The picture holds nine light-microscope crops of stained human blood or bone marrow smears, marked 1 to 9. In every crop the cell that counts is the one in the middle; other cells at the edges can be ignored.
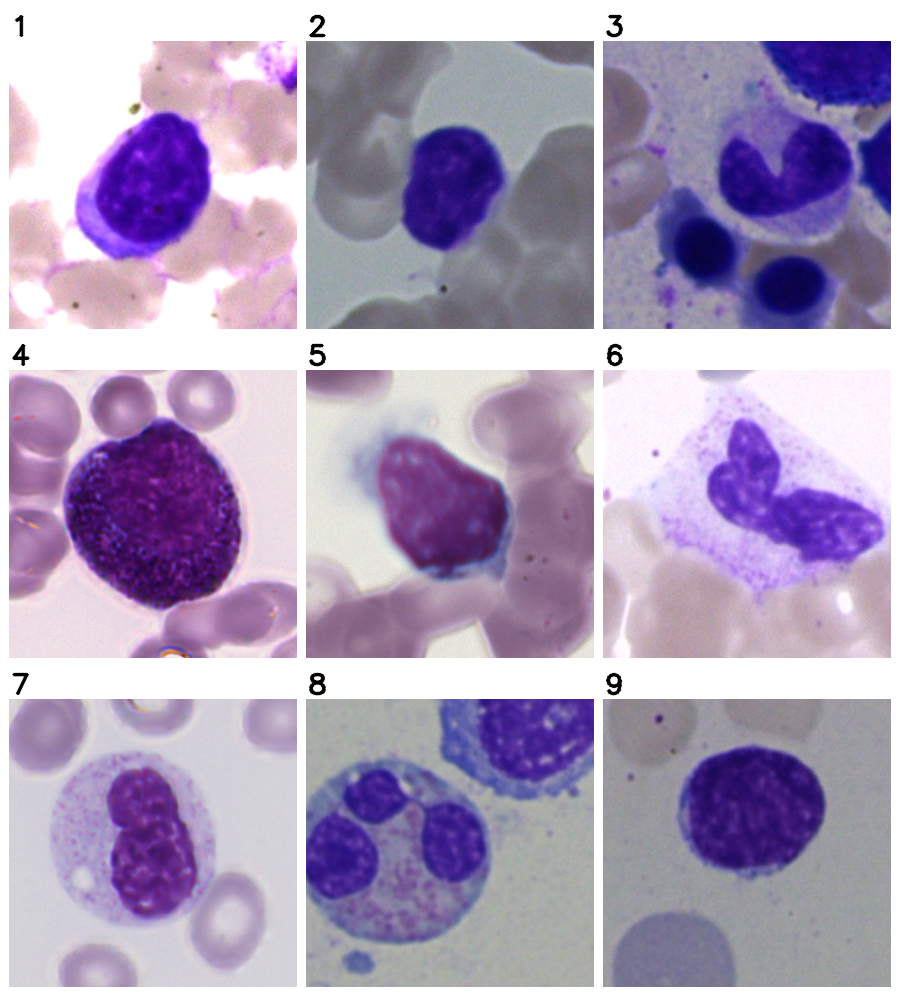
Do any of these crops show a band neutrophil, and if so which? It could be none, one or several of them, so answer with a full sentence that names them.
What crops 3, 6 and 7 show in the middle are band neutrophils.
